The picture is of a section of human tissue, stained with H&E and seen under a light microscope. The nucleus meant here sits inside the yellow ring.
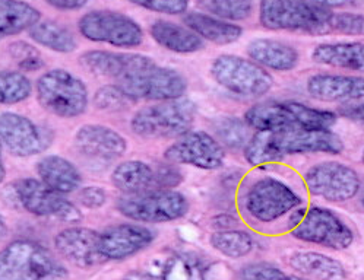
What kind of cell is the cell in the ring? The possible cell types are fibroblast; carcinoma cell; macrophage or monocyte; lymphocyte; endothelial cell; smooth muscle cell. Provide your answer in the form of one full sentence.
The cell type represented by the cell in the ring is that of a carcinoma cell.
